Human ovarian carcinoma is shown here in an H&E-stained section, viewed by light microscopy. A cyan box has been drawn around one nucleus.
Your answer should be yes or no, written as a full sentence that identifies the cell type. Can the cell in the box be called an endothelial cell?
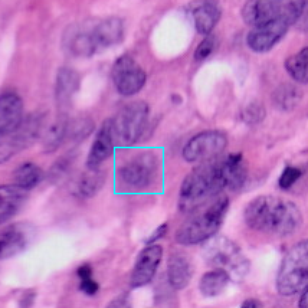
No, that is wrong: the cell in the box is a carcinoma cell, not an endothelial cell.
